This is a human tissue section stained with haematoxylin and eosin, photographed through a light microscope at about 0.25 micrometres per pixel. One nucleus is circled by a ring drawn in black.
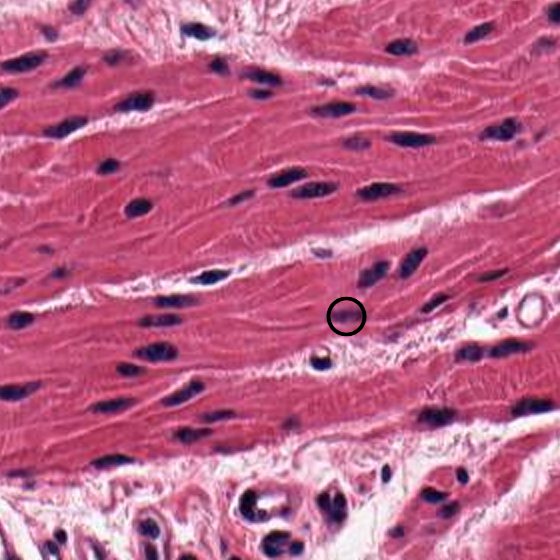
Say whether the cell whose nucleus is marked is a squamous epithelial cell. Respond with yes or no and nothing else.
no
